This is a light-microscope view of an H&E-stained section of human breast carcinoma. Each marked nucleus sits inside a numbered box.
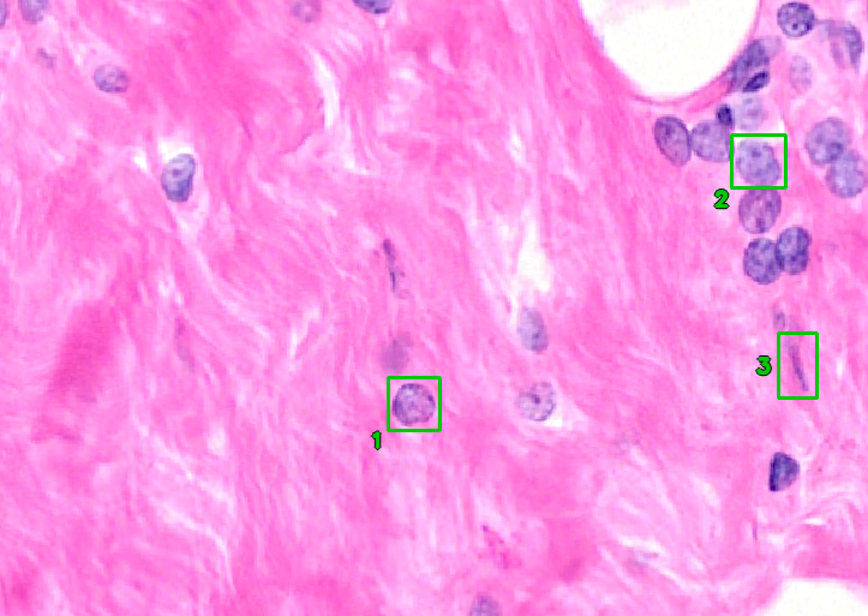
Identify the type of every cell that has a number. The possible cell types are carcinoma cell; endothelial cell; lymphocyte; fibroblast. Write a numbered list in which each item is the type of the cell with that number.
1. carcinoma cell
2. carcinoma cell
3. fibroblast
